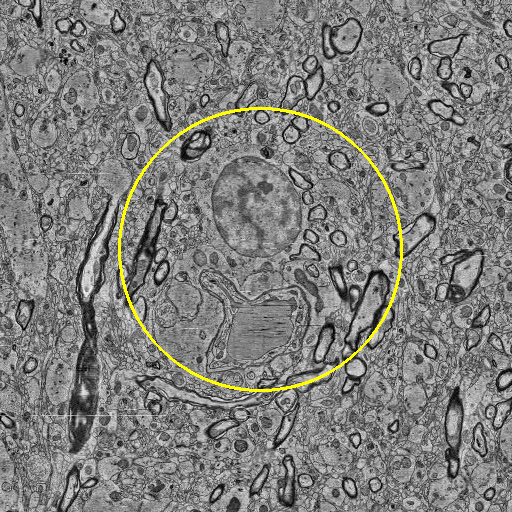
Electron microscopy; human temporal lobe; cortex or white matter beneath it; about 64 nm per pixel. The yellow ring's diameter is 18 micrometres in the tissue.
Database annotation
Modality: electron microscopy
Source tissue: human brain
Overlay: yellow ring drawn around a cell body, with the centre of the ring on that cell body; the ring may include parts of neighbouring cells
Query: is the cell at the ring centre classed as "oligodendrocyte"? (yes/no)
yes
